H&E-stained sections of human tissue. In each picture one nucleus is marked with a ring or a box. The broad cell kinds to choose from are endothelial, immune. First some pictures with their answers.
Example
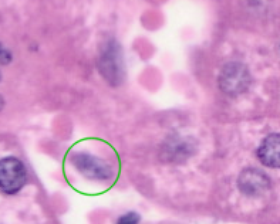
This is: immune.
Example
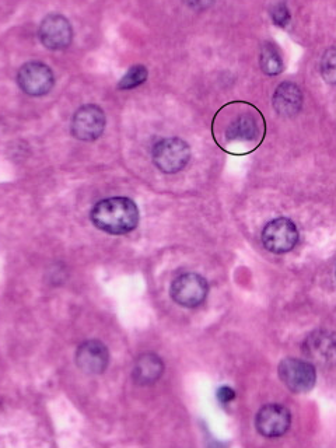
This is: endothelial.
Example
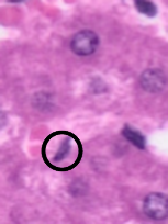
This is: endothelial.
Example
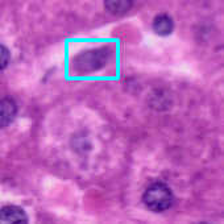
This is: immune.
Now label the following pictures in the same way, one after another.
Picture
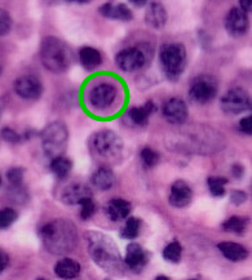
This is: immune.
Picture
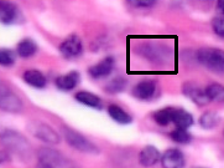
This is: endothelial.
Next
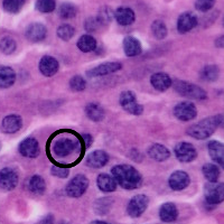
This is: immune.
